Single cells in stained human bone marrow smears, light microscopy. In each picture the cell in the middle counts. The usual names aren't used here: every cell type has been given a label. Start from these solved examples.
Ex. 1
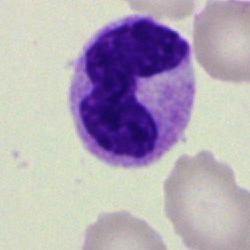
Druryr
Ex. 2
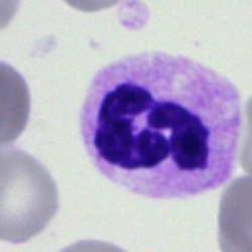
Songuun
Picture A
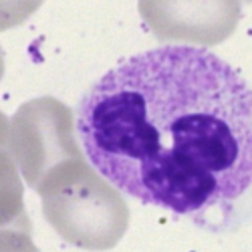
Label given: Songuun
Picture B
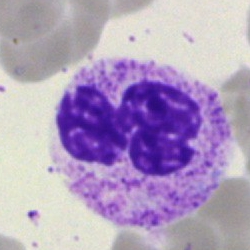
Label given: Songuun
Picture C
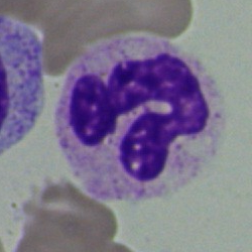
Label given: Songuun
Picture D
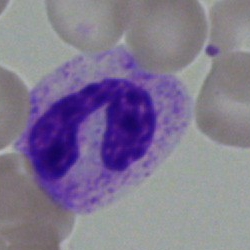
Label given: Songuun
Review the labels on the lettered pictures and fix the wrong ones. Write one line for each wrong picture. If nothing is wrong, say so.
D: not Songuun but Druryr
